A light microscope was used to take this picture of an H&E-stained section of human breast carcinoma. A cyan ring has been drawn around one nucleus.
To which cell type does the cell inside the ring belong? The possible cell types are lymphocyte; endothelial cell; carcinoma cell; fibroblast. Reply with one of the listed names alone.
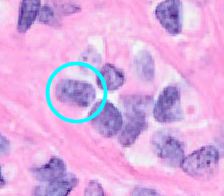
carcinoma cell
